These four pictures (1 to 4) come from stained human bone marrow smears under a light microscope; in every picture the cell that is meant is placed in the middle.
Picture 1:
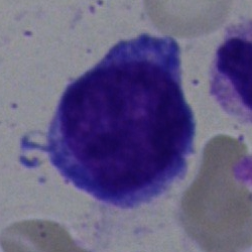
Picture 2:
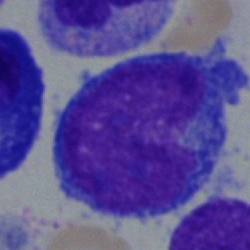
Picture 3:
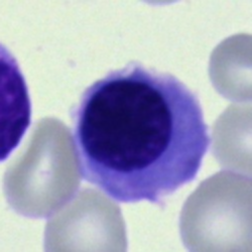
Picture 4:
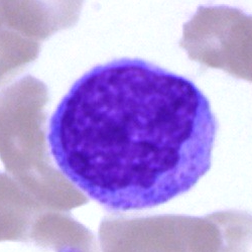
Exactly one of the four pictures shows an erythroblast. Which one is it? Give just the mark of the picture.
3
